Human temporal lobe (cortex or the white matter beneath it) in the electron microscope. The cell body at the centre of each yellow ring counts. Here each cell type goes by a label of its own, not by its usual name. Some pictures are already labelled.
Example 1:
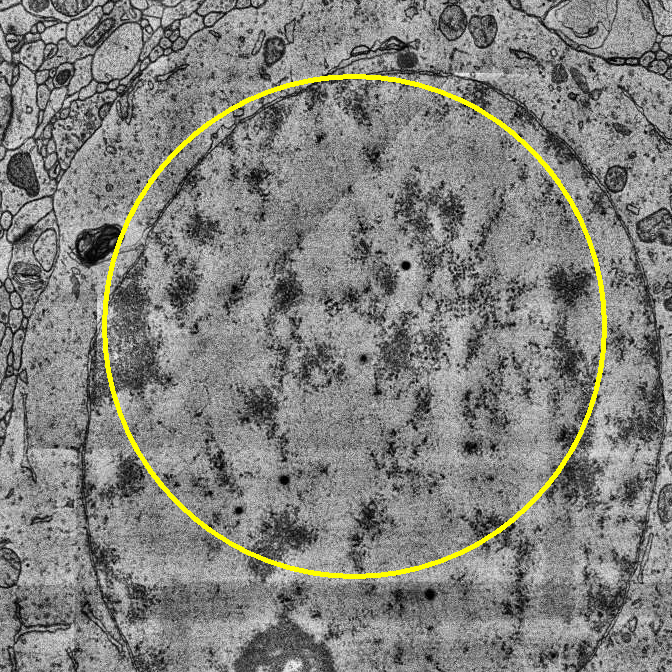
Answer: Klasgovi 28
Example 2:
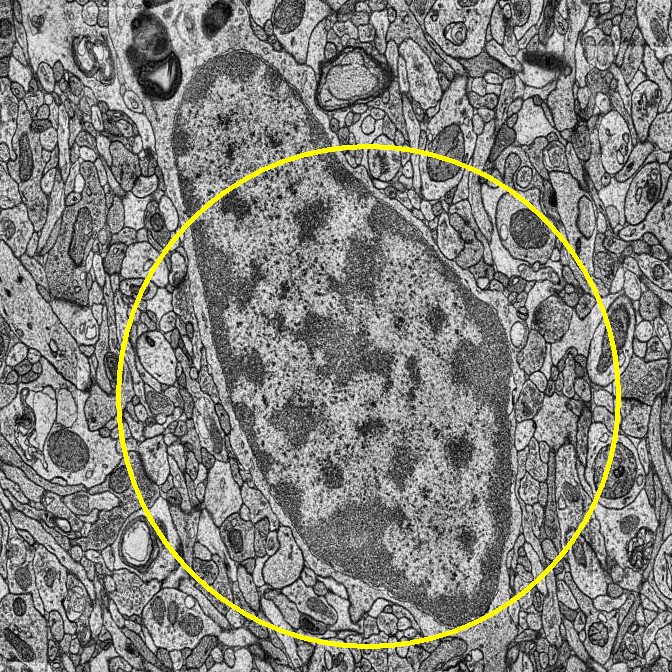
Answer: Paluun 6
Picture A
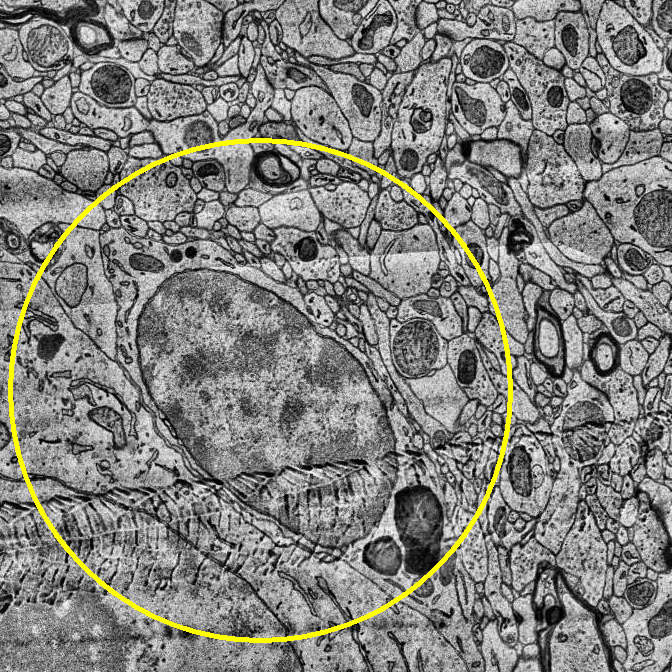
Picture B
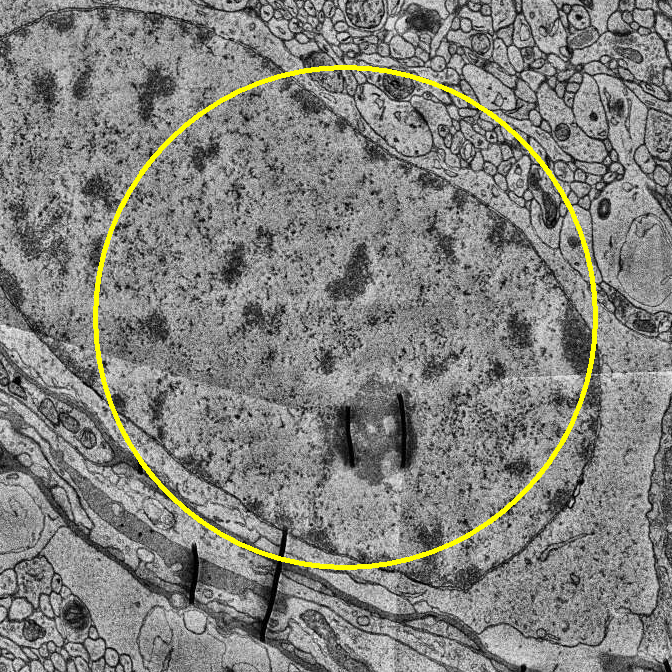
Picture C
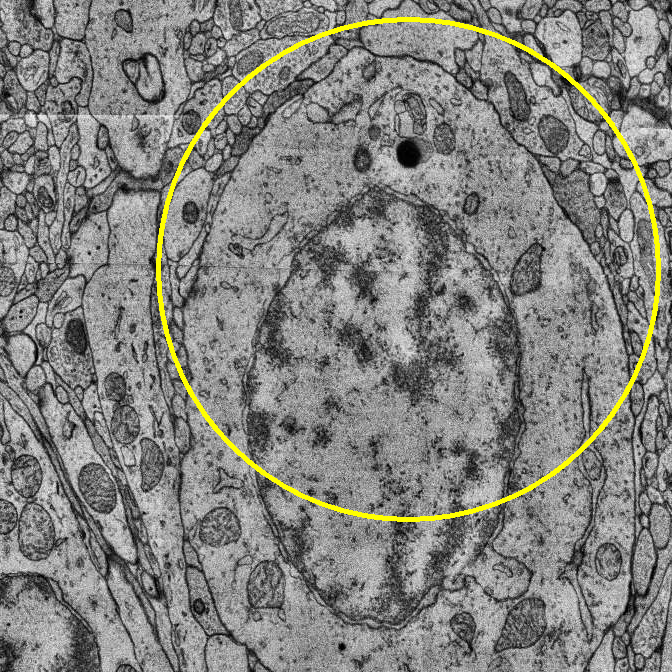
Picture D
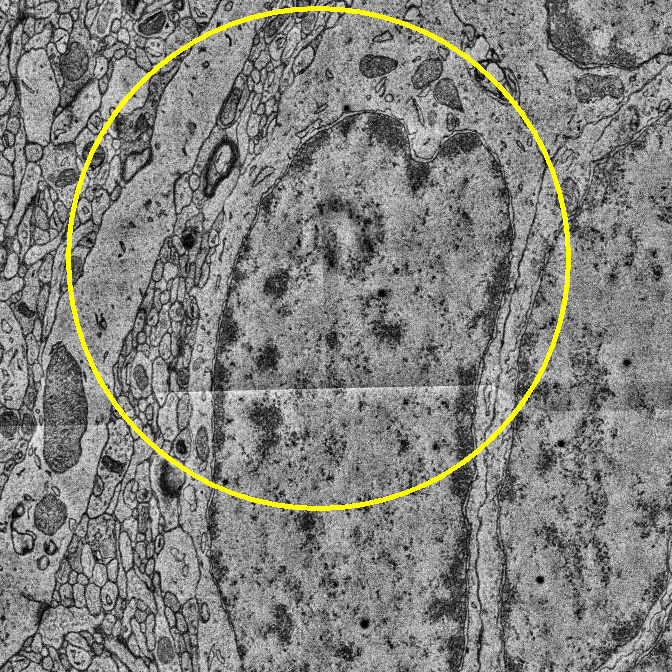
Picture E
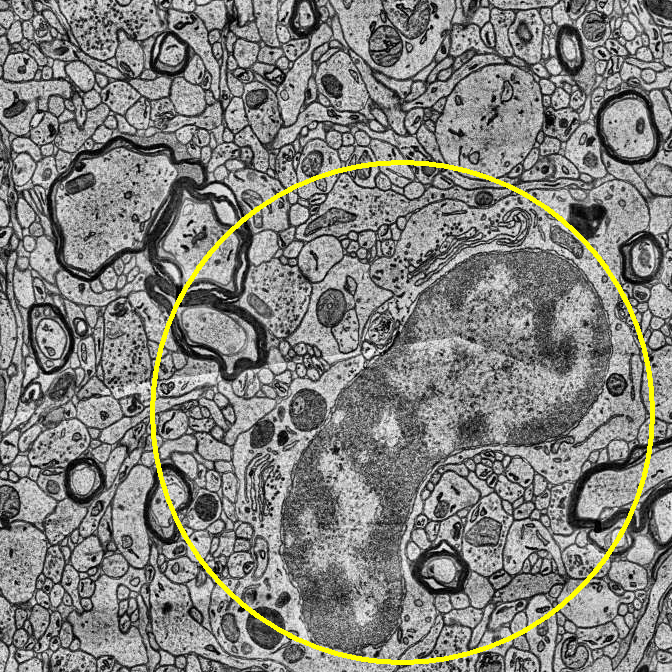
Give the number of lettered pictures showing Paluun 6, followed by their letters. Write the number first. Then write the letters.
4, namely A, B, D, E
